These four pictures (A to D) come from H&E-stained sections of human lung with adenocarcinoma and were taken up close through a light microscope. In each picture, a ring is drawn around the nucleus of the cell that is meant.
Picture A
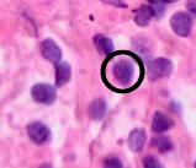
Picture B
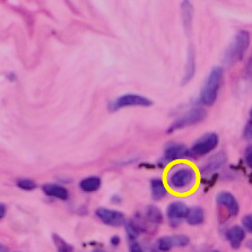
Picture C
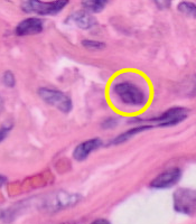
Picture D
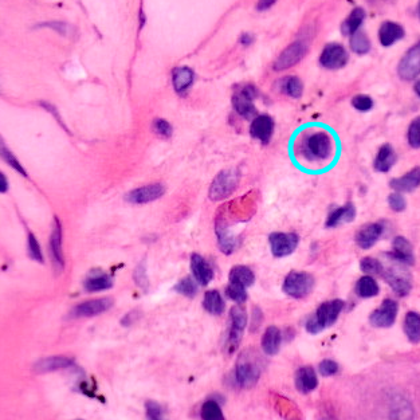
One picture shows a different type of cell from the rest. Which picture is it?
C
